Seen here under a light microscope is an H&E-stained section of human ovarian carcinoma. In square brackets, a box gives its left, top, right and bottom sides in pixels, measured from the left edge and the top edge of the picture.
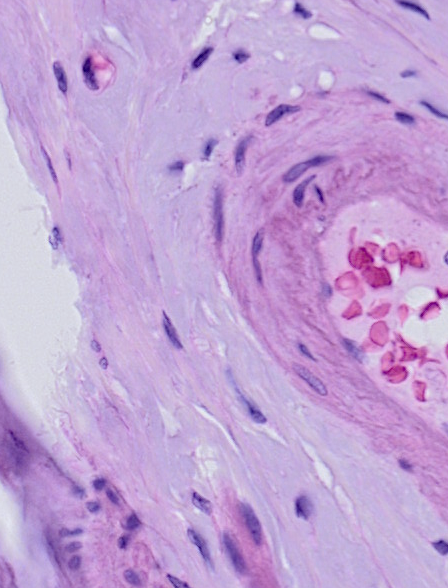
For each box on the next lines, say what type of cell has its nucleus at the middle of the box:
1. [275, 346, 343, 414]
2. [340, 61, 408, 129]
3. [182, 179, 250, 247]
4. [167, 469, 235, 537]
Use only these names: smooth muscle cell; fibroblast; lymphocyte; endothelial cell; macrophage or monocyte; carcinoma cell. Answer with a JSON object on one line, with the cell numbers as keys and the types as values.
{"1": "smooth muscle cell", "2": "smooth muscle cell", "3": "smooth muscle cell", "4": "fibroblast"}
